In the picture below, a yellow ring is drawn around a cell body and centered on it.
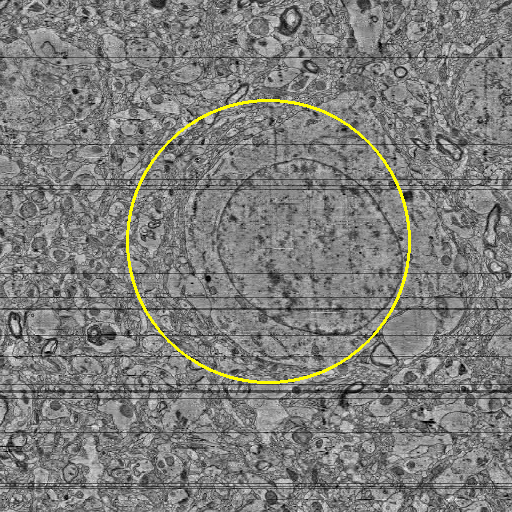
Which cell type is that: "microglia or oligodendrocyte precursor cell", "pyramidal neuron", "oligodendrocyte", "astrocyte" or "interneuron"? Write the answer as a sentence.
The cell centered in the ring is a pyramidal neuron.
